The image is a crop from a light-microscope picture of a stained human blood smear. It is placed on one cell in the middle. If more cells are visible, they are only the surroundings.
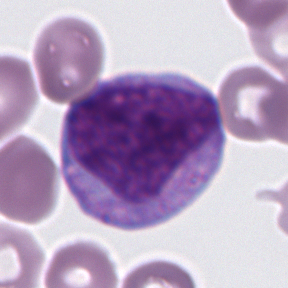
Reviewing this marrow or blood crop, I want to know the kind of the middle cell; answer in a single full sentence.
Within this crop, an atypical promyelocyte occupies the central position.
